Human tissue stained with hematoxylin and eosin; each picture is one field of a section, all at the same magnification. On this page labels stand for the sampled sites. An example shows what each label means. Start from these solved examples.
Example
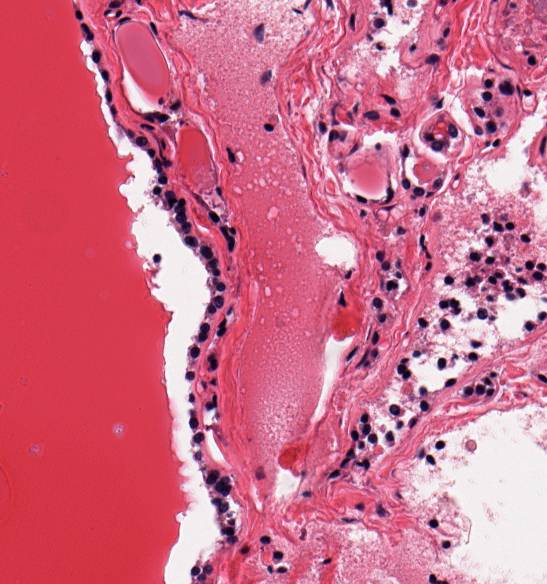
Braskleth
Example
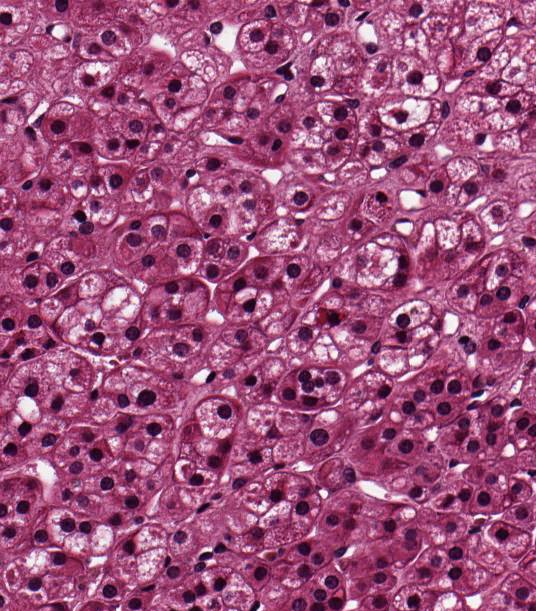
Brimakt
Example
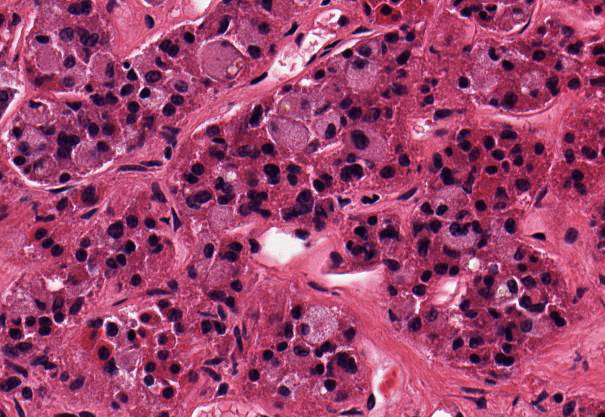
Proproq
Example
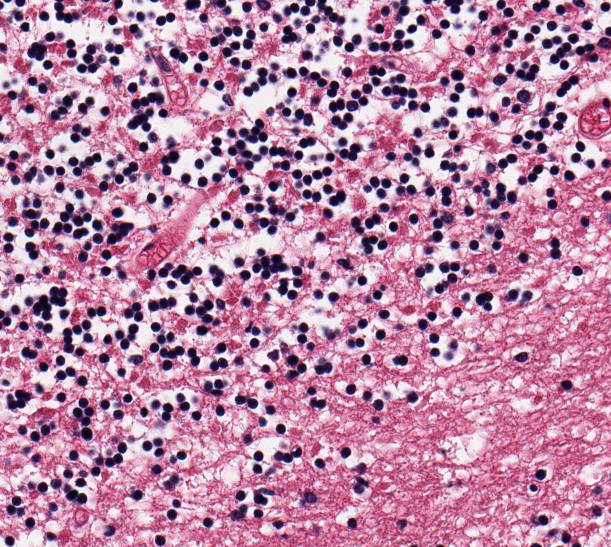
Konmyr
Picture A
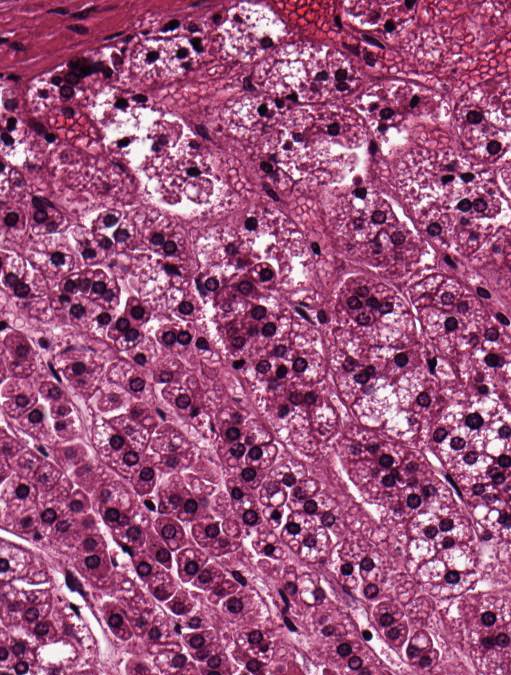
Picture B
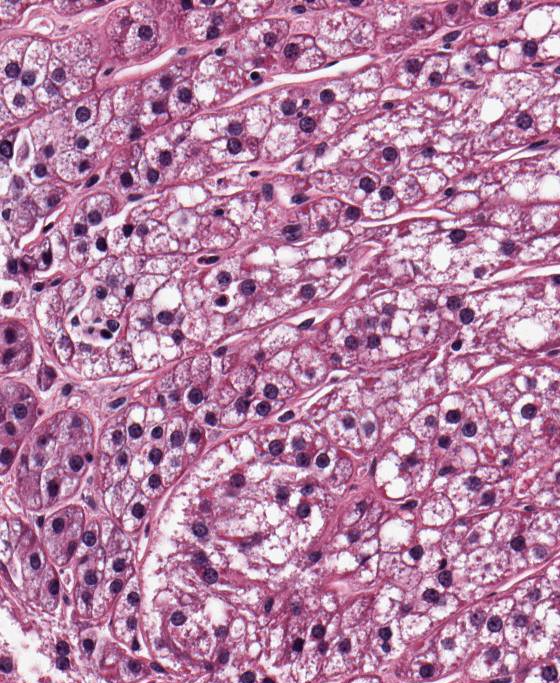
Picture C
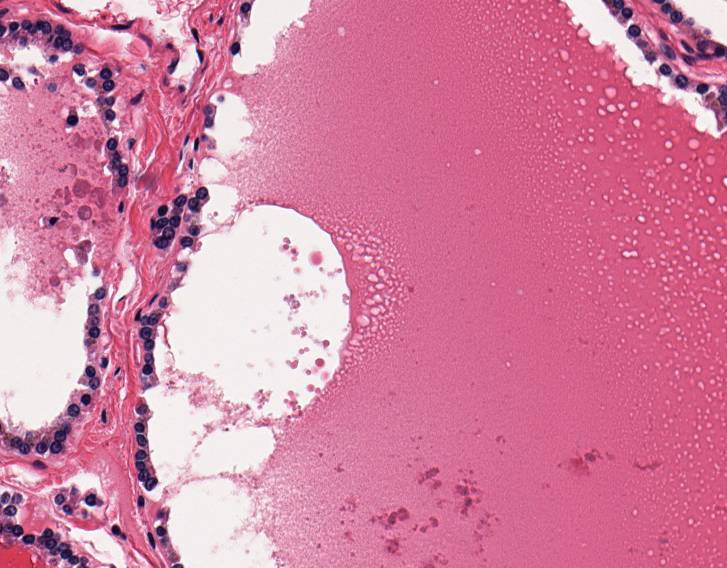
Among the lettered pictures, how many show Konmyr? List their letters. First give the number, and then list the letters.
0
